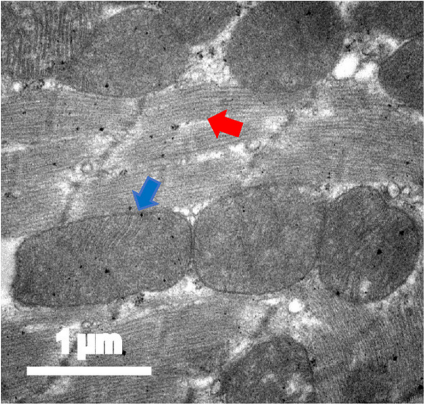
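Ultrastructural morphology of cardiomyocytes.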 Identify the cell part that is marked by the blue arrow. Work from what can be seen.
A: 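The arrow points at the membrane of an oval dark organelle. The organelles are packed with cristae and lie in a row.
Conclusion: mitochondria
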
